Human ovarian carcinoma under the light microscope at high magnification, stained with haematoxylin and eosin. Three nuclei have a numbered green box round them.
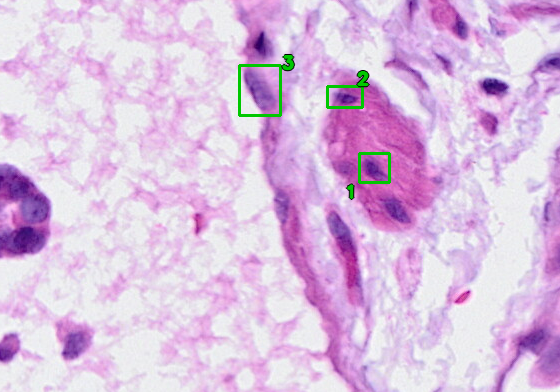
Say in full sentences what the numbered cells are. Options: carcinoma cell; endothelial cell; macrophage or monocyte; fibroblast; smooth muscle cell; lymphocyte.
Cell 1 is a smooth muscle cell, cell 2 is a smooth muscle cell and cell 3 is an endothelial cell.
